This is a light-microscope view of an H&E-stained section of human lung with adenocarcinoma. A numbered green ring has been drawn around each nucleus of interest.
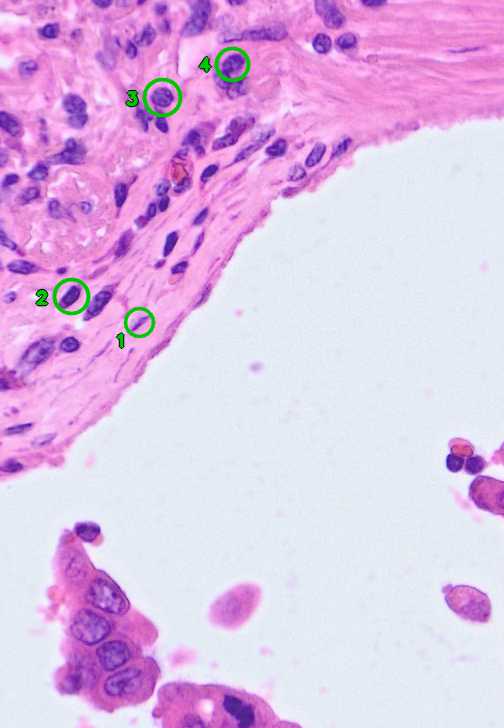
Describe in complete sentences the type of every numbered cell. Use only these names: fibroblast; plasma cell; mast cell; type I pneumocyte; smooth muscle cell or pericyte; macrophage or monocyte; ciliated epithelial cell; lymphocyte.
Cell 1 is a fibroblast. Cell 2 is a plasma cell. Cells 3 and 4 are lymphocytes.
